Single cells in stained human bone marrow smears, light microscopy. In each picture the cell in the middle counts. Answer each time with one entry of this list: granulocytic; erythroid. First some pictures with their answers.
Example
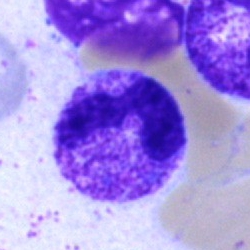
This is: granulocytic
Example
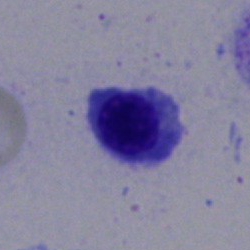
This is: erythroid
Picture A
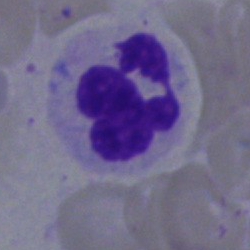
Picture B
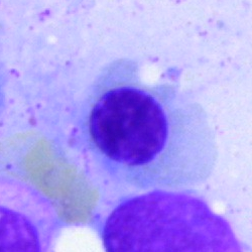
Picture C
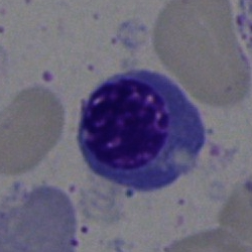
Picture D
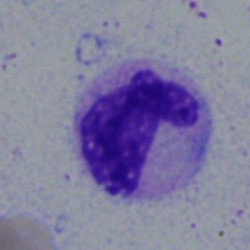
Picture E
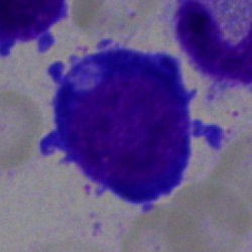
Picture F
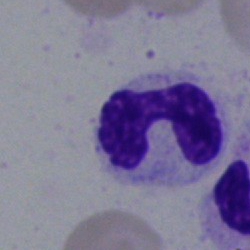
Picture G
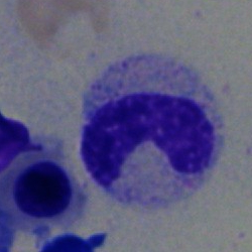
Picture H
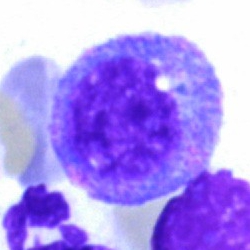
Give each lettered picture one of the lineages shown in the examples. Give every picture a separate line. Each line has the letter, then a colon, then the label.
A: granulocytic
B: erythroid
C: erythroid
D: granulocytic
E: erythroid
F: granulocytic
G: granulocytic
H: granulocytic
